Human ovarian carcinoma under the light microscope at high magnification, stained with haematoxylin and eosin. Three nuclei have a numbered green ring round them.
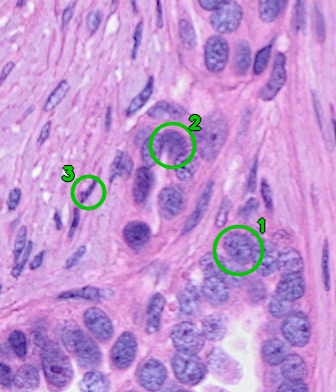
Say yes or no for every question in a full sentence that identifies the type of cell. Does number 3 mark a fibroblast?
Yes, the cell shown as number 3 is a fibroblast.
